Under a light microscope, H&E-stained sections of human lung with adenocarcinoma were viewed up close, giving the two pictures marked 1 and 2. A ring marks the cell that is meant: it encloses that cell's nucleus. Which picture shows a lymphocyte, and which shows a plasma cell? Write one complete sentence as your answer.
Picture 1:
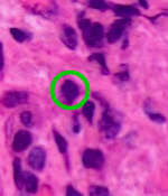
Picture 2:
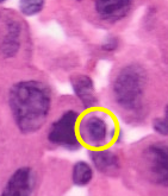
Picture 1 shows a plasma cell and picture 2 shows a lymphocyte.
